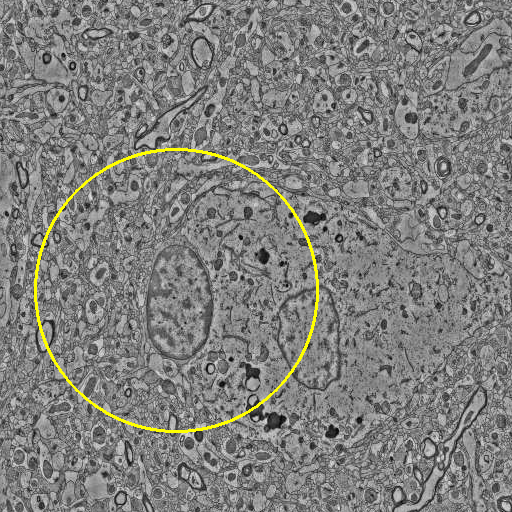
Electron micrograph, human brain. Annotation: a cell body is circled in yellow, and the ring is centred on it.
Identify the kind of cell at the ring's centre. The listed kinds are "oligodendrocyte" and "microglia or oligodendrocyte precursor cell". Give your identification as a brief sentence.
The circled cell body is that of an oligodendrocyte.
